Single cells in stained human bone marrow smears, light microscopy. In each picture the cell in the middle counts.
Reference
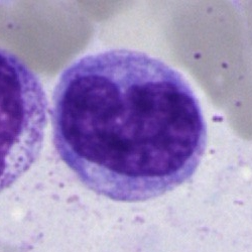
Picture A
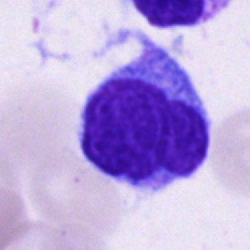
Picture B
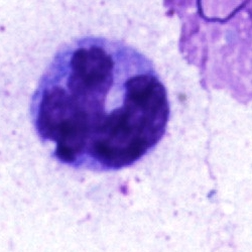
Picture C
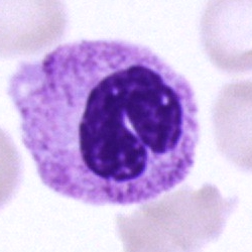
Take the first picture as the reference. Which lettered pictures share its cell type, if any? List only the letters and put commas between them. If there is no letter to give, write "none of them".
A, B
